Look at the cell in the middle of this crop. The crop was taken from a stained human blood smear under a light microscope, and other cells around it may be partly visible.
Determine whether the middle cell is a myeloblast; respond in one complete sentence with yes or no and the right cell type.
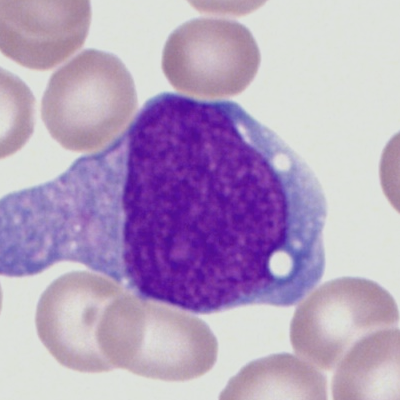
Yes, the centre of the crop holds a myeloblast.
